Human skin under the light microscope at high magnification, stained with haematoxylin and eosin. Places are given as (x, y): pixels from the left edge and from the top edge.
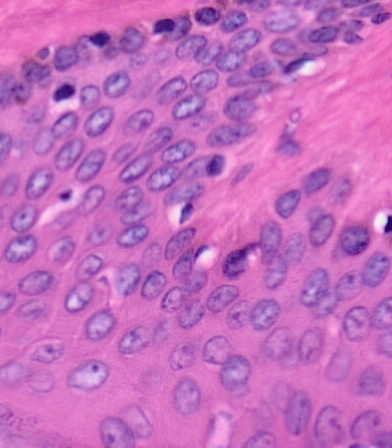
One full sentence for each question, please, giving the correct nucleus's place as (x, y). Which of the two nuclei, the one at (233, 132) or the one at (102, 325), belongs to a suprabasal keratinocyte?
Only the nucleus at (102, 325), of the two, belongs to a suprabasal keratinocyte.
